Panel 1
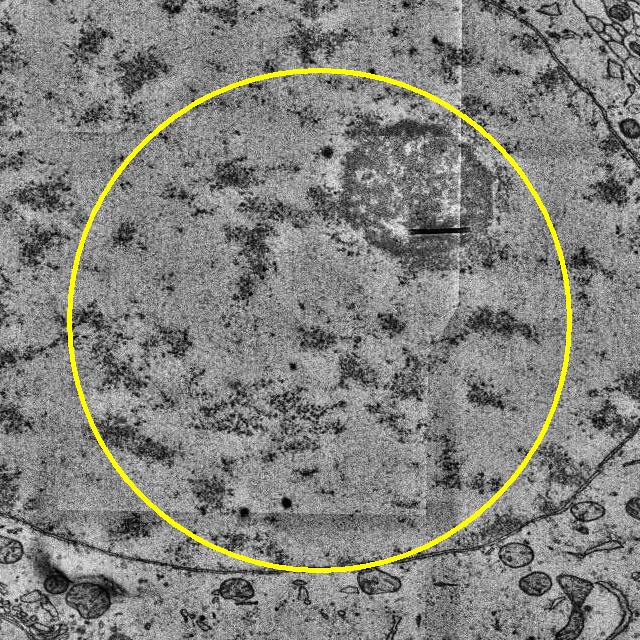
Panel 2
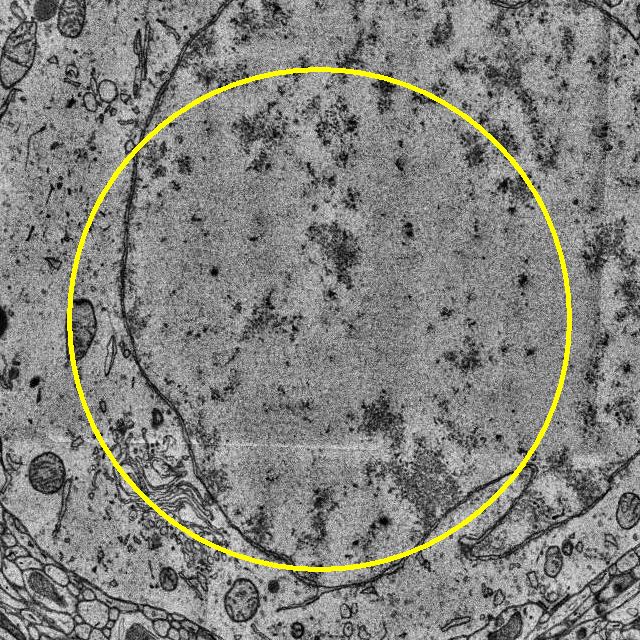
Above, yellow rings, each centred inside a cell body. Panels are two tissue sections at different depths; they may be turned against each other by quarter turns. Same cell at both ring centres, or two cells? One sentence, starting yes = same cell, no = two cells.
Yes, a single cell is marked twice, once by each yellow ring.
